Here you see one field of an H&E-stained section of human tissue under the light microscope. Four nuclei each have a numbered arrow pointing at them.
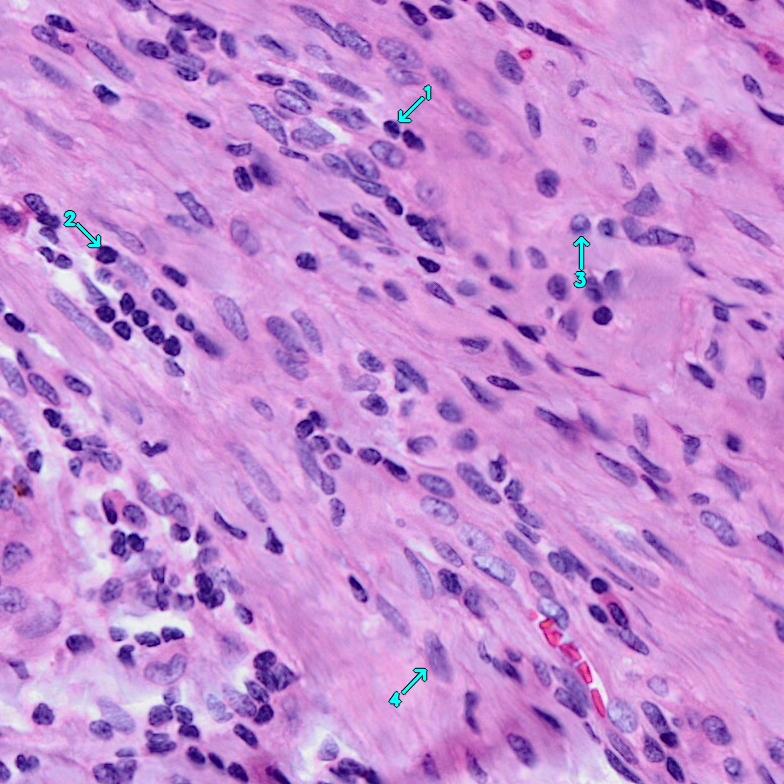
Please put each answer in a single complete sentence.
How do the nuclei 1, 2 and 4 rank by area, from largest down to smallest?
The nuclei rank 4, 2, 1, from largest to smallest.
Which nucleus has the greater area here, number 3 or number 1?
At about 1.5 times the area of nucleus 1, nucleus 3 is the larger of the two.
